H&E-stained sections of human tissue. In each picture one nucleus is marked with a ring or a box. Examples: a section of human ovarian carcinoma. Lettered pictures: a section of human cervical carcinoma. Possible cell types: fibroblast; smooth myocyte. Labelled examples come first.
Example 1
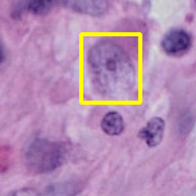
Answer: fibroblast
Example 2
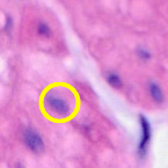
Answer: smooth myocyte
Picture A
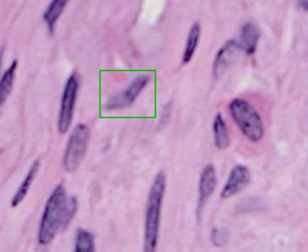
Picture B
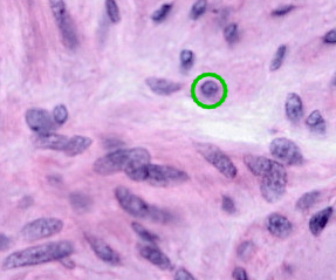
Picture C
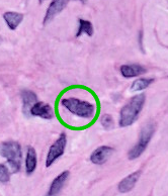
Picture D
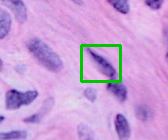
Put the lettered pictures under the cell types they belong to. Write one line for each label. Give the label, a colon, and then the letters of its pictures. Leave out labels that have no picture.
fibroblast: A, C, D
smooth myocyte: B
